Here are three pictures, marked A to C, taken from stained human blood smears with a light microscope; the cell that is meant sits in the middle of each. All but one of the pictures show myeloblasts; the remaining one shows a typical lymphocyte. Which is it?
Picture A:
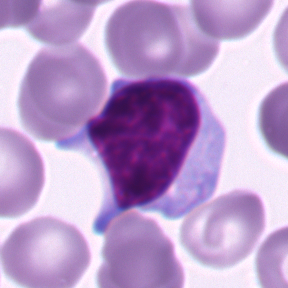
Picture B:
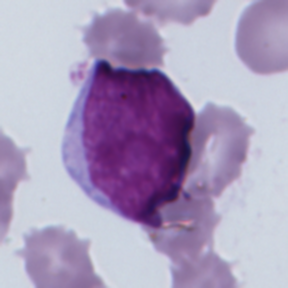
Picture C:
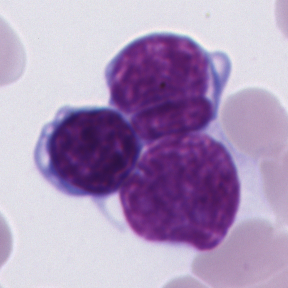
A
